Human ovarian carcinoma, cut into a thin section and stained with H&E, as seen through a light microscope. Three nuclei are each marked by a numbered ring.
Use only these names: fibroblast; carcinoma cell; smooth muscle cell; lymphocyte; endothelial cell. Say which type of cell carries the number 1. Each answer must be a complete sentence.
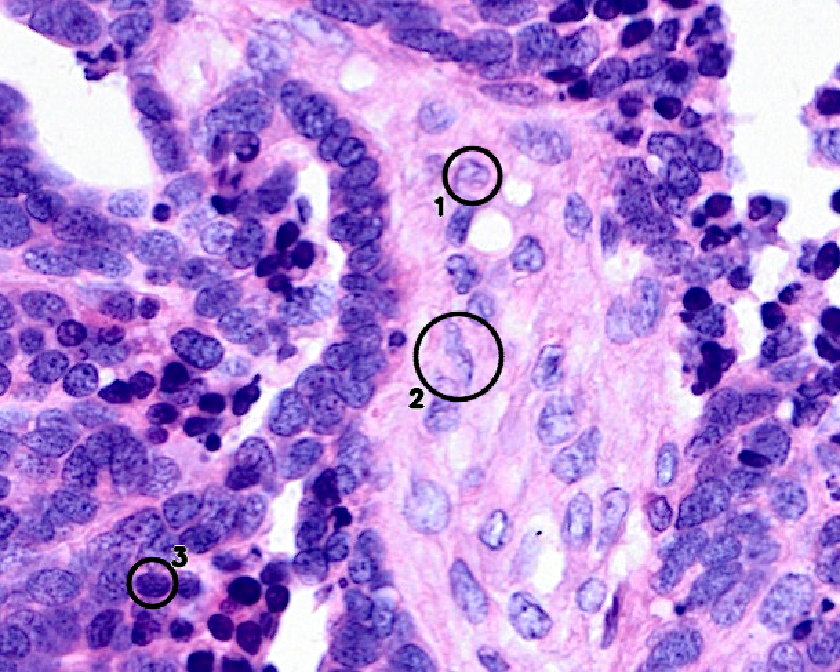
The numbered cell 1 in this field is a fibroblast.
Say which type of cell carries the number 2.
The marked nucleus 2 is that of a fibroblast.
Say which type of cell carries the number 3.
The numeral 3 marks a carcinoma cell in this section.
